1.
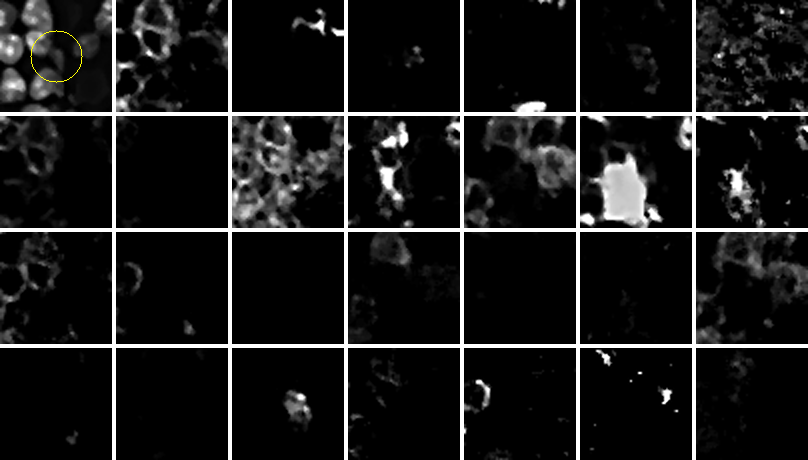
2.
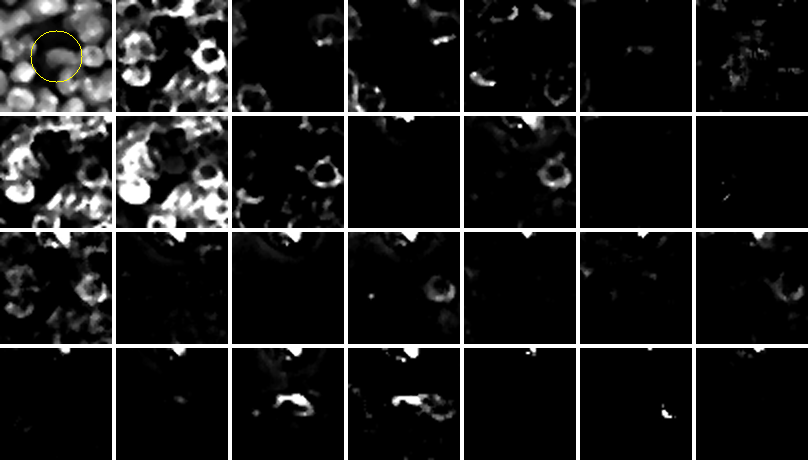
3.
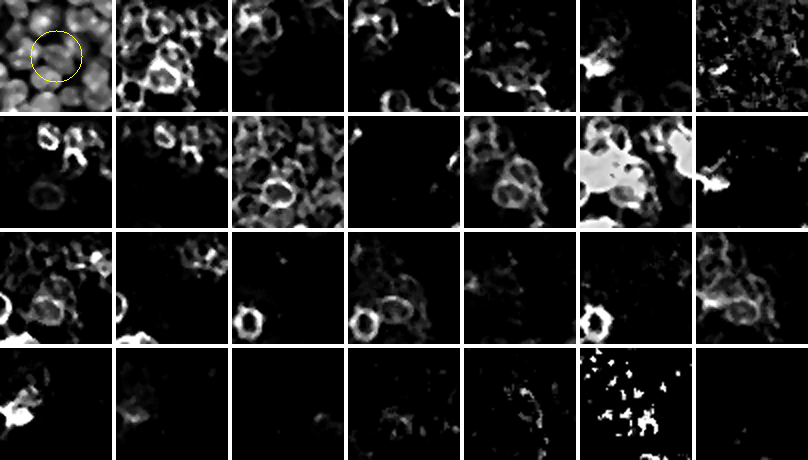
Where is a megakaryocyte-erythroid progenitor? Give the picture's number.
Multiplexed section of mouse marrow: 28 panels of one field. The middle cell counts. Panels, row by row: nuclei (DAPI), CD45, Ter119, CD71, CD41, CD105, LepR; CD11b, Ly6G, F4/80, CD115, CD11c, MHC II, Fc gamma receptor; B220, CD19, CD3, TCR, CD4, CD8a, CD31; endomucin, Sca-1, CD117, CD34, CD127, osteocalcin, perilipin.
1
